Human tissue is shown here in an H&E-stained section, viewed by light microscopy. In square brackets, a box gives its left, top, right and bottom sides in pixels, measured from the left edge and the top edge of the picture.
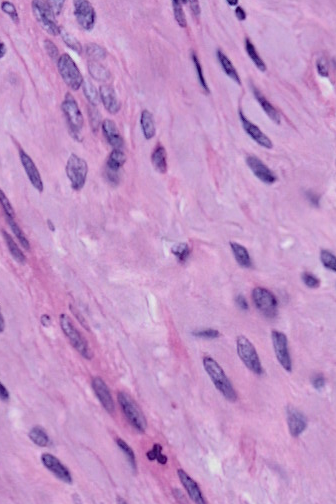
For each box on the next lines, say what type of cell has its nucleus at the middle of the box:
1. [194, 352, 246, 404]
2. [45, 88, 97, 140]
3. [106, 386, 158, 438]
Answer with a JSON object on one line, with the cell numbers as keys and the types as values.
{"1": "fibroblast", "2": "smooth muscle cell", "3": "endothelial cell"}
